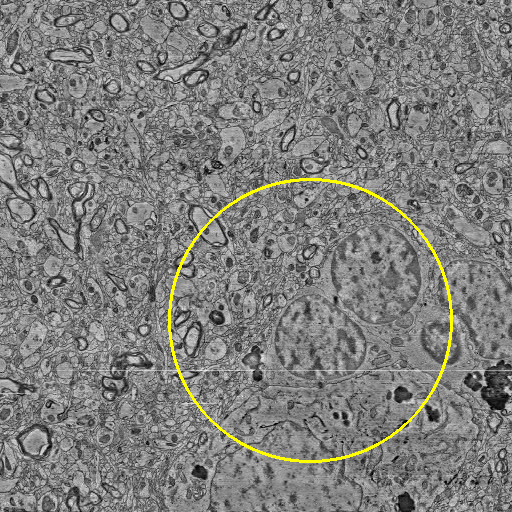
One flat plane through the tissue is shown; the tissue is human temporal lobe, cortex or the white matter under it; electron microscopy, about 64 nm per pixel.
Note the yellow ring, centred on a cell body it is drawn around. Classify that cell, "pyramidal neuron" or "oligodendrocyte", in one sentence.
The cell the ring is centred on is an oligodendrocyte.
